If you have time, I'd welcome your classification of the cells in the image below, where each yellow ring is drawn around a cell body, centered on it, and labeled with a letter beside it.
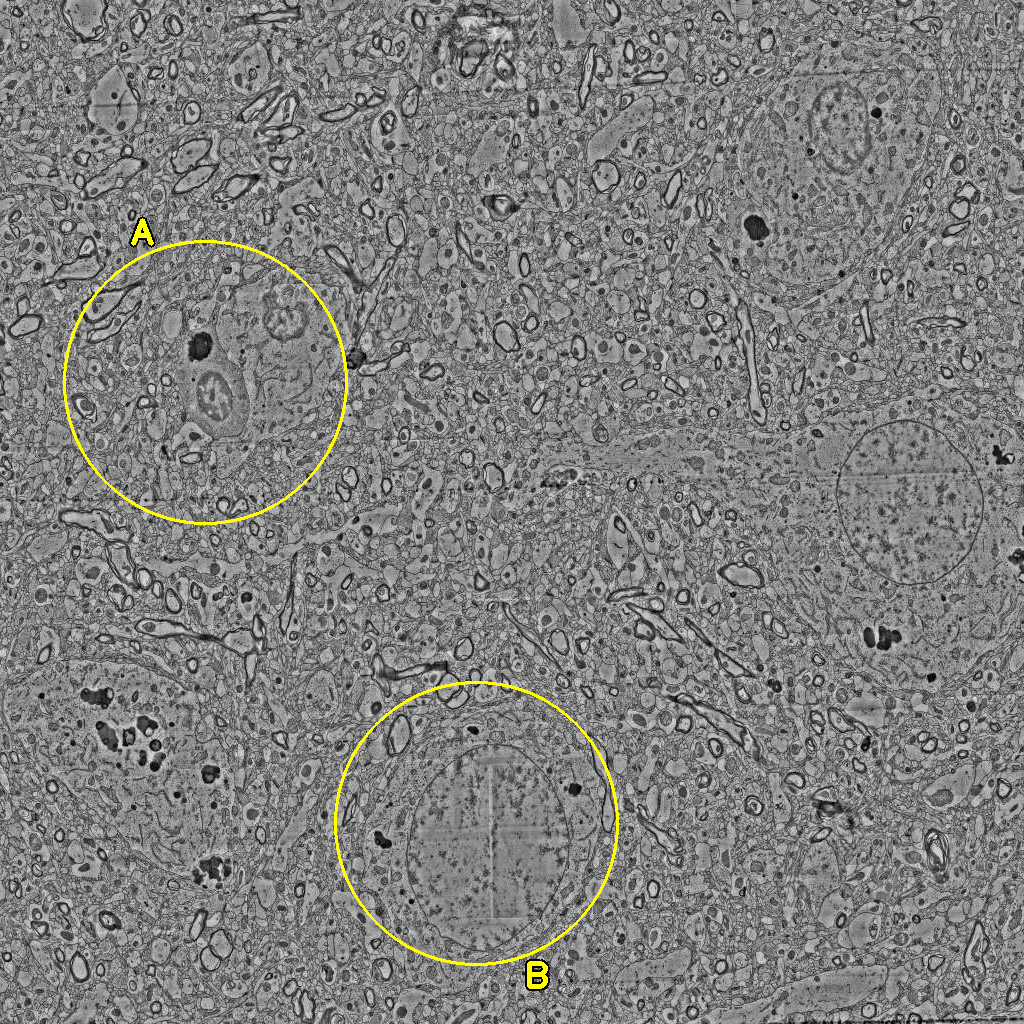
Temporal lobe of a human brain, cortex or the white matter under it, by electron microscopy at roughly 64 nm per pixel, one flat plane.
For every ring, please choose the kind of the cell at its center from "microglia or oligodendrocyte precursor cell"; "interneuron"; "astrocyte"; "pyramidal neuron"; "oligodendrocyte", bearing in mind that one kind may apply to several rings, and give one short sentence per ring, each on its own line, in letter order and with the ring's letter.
At the center of ring A is an oligodendrocyte.
At the center of ring B is a pyramidal neuron.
